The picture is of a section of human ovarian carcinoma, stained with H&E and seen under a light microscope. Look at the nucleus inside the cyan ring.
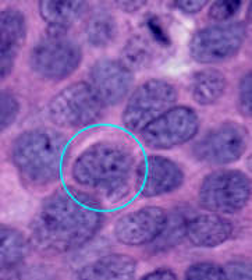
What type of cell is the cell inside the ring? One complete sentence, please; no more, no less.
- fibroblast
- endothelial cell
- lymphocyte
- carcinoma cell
Just put down that the cell inside the ring is a carcinoma cell.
